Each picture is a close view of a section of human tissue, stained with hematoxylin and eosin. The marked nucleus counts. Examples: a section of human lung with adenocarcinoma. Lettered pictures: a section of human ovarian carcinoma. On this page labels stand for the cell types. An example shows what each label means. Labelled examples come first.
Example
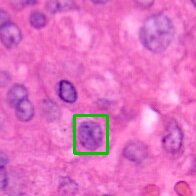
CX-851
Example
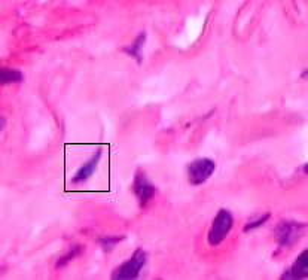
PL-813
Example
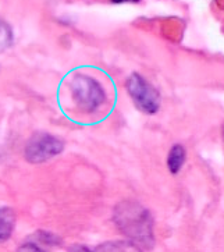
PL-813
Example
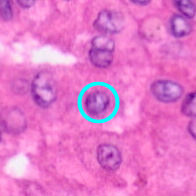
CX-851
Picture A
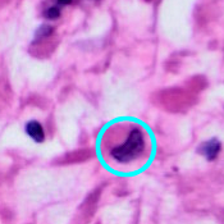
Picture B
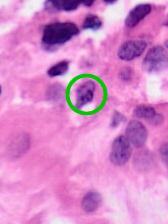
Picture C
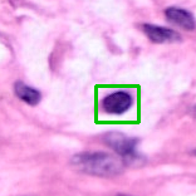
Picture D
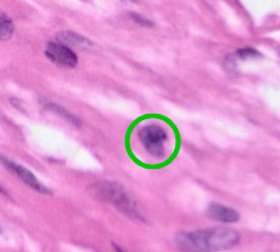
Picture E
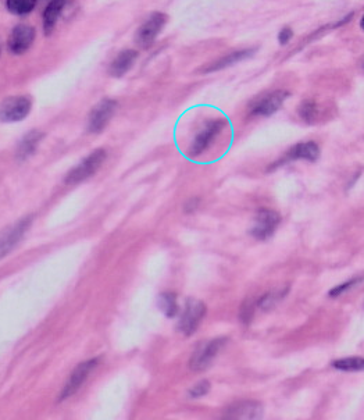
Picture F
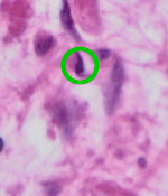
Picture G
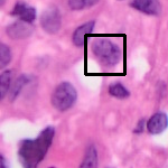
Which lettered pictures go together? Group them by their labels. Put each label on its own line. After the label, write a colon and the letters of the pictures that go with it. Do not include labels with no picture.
CX-851: A, B, C, D, G
PL-813: E, F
